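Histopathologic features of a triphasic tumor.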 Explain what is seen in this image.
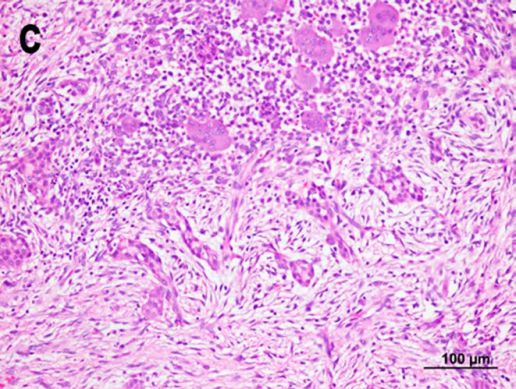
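This tumour tissue shows a group of multinucleated giant cells in the upper half, large cells with many nuclei and pink cytoplasm scattered among densely packed small mononuclear cells. The lower half is fibrous, with spindle cells in streams, among which lie small groups of epithelial cells.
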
